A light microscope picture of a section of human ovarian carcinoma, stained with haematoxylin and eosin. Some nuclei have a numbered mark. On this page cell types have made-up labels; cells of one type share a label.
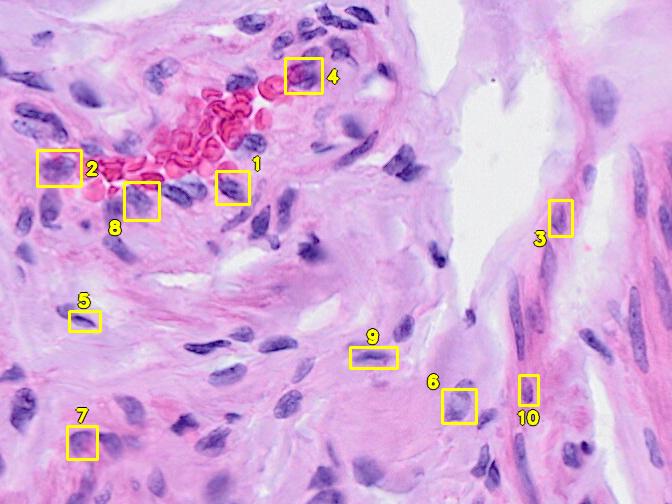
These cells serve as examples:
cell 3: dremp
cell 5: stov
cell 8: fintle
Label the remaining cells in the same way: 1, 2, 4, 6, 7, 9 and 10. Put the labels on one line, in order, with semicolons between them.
fintle; fintle; fintle; stov; dremp; stov; dremp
